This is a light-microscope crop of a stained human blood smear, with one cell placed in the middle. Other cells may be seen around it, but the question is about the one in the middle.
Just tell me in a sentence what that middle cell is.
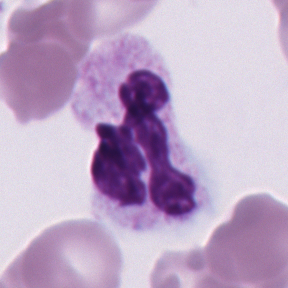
As for the central cell, it is a segmented neutrophil.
